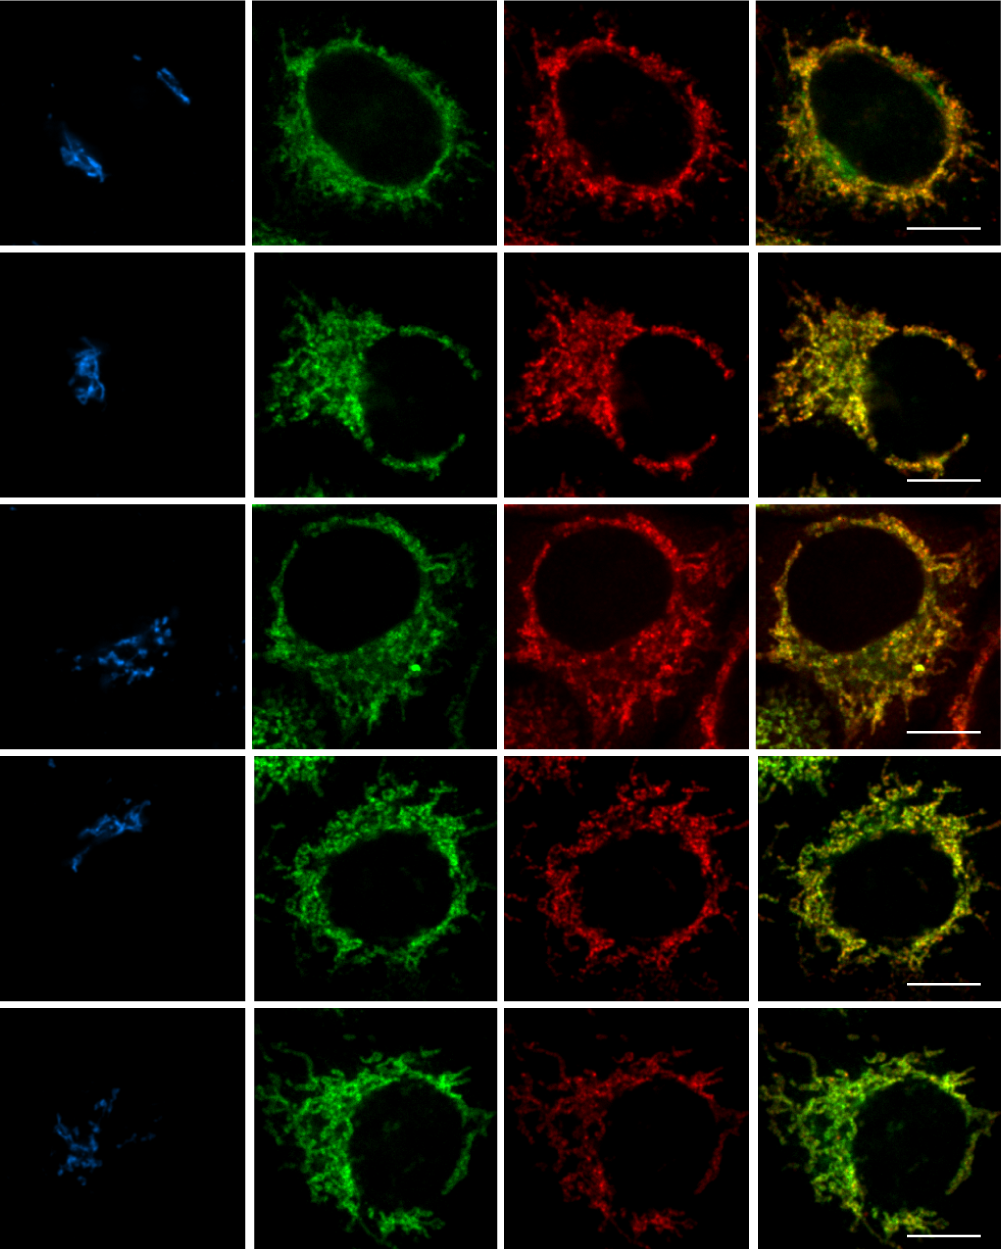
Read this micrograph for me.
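A grid of single cultured cells seen in several fluorescence channels. In each row one cell shows a dark round nucleus surrounded by a dense, branched tubular network in red that spreads through the cytoplasm, typical of mitochondria. The green channel traces a closely similar network. In the merged images green and red largely overlap, giving yellow. A separate blue channel shows a small, compact, ribbon-like cluster beside the nucleus, the shape and position of the Golgi apparatus. The blue cluster is much smaller than the network and sits to one side of the nucleus.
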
